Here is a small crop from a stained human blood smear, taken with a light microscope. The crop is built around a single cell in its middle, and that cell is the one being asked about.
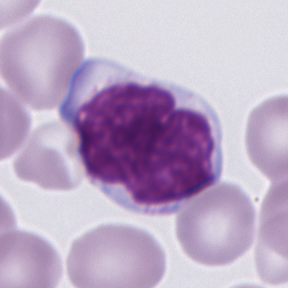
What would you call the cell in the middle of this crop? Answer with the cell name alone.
large granular lymphocyte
